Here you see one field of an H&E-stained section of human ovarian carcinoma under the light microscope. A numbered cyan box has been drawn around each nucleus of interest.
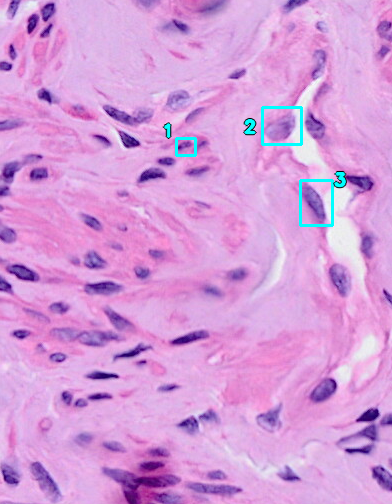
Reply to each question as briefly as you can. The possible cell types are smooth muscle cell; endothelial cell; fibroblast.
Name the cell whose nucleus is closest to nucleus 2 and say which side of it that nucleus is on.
an endothelial cell; to the right of nucleus 2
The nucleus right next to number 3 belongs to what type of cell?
endothelial cell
